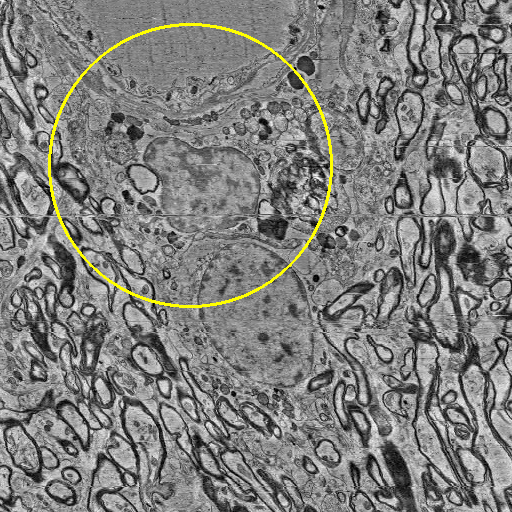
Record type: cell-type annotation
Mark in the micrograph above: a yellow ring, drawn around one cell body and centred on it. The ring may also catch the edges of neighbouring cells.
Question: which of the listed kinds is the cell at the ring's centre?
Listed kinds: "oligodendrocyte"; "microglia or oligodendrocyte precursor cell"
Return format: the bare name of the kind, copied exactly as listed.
microglia or oligodendrocyte precursor cell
